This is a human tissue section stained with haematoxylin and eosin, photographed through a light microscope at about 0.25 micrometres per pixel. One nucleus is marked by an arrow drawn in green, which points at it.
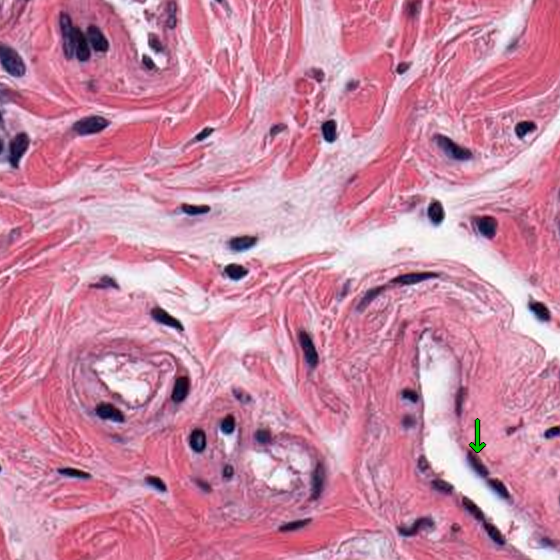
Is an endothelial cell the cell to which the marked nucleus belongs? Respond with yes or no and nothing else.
yes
